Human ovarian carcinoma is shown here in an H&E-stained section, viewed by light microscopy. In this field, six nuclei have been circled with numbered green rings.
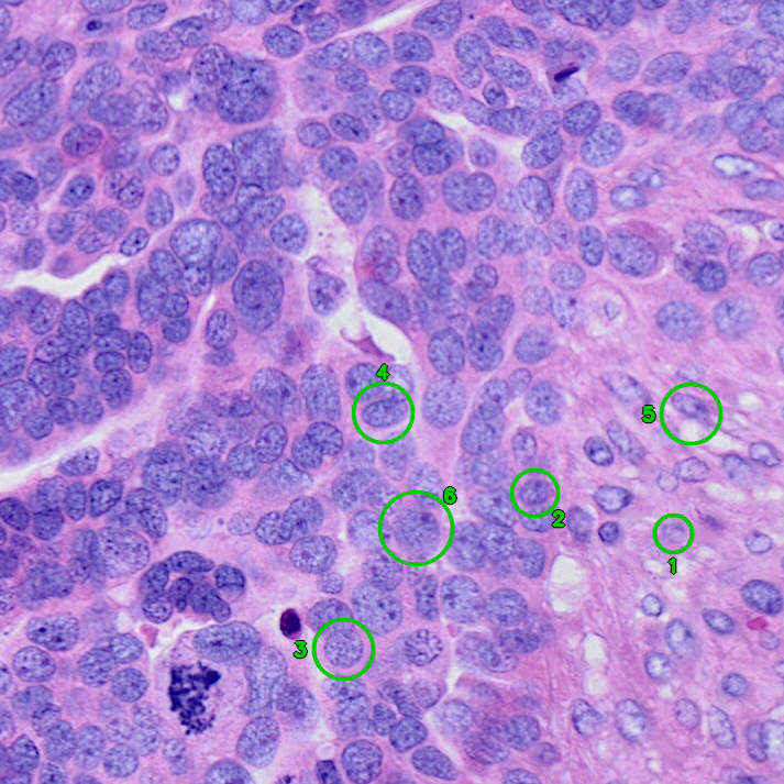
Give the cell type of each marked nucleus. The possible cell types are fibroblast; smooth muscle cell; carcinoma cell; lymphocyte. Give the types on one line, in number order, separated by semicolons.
fibroblast; carcinoma cell; carcinoma cell; carcinoma cell; fibroblast; carcinoma cell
